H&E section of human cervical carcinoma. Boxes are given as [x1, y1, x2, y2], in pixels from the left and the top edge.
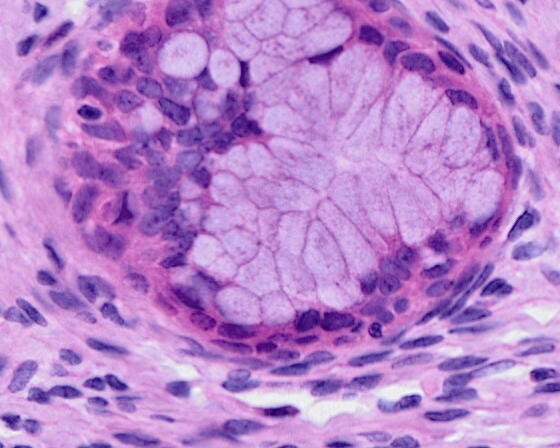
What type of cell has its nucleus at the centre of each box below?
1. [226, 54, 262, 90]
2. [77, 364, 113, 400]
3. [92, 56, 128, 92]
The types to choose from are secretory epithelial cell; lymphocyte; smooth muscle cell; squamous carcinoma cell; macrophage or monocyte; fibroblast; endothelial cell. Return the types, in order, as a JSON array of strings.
["secretory epithelial cell", "fibroblast", "secretory epithelial cell"]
